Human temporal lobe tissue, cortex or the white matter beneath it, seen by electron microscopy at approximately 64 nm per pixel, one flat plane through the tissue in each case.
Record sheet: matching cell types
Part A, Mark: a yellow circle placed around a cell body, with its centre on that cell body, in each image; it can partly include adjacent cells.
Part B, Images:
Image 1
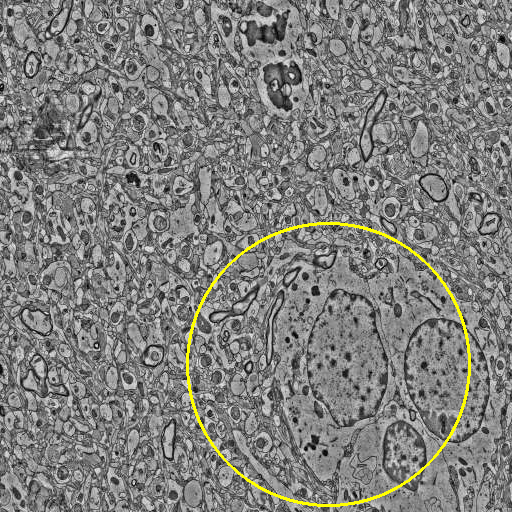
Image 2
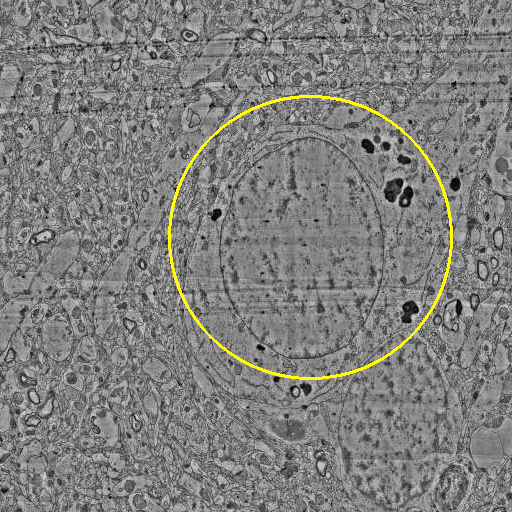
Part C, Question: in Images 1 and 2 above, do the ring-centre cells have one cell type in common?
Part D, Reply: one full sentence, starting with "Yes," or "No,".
No, the ring-centre cells of Image 1 and Image 2 are each of a separate cell type.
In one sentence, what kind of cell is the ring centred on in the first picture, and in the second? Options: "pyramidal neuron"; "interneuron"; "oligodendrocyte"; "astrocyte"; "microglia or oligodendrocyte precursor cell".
The cell at the centre of the second ring is a pyramidal neuron; the first ring's cell is an astrocyte.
